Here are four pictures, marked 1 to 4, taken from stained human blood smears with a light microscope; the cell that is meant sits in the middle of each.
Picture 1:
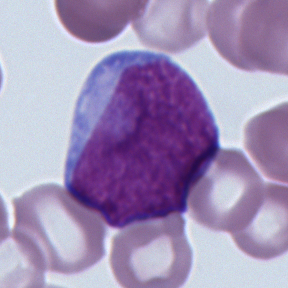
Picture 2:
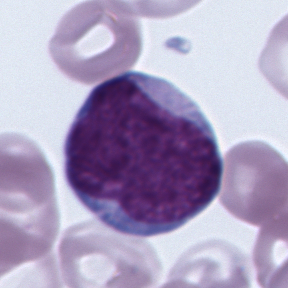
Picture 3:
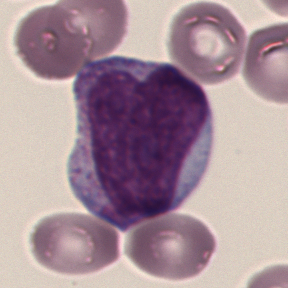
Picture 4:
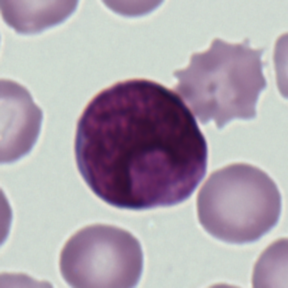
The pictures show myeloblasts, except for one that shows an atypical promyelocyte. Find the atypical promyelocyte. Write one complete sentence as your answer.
Picture 3 shows the atypical promyelocyte.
